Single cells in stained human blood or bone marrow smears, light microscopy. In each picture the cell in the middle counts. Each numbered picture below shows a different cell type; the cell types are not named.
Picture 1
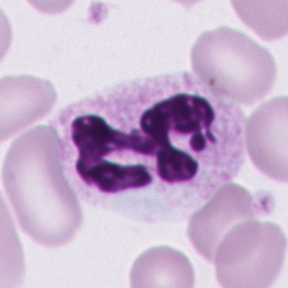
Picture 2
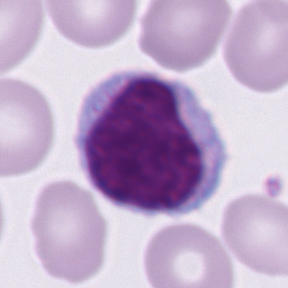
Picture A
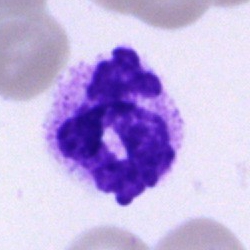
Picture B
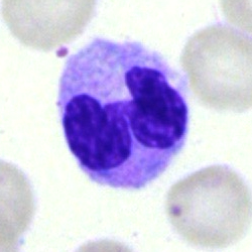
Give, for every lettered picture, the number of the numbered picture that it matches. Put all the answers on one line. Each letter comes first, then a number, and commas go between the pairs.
A 1, B 1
